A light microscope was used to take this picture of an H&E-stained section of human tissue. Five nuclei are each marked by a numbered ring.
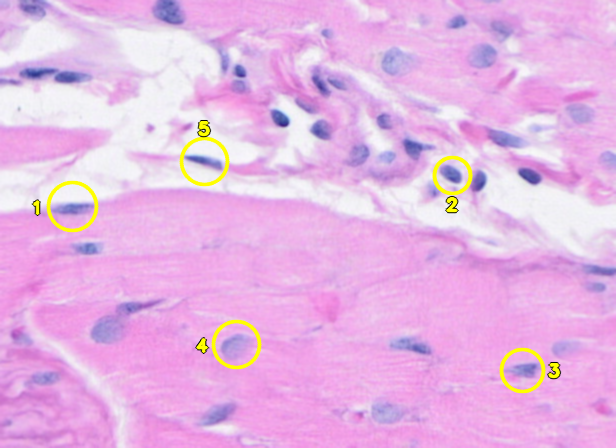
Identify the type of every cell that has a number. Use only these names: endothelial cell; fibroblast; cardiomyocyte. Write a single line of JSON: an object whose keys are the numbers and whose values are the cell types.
{"1": "endothelial cell", "2": "fibroblast", "3": "endothelial cell", "4": "cardiomyocyte", "5": "fibroblast"}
